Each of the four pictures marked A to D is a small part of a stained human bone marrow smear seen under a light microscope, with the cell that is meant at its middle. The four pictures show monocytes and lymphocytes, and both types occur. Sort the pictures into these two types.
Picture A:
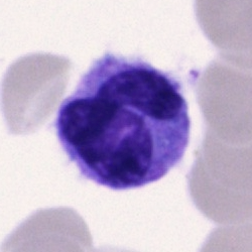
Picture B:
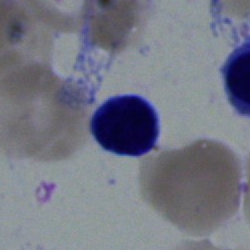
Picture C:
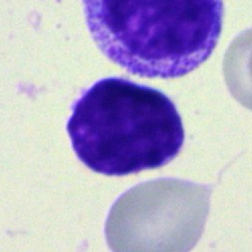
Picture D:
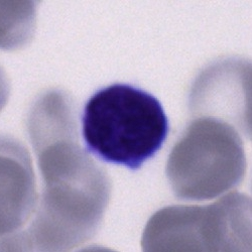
A: monocyte
B: lymphocyte
C: lymphocyte
D: lymphocyte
